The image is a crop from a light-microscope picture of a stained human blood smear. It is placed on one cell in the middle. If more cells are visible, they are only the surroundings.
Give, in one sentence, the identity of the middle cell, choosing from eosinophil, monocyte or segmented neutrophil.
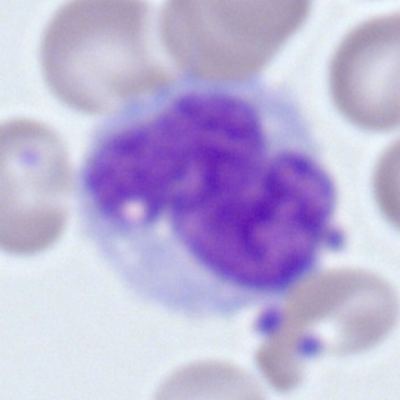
Regarding the central cell, it is a monocyte.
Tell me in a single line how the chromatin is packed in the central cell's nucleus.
The chromatin is delicate and fine, lacking coarse clumping entirely.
